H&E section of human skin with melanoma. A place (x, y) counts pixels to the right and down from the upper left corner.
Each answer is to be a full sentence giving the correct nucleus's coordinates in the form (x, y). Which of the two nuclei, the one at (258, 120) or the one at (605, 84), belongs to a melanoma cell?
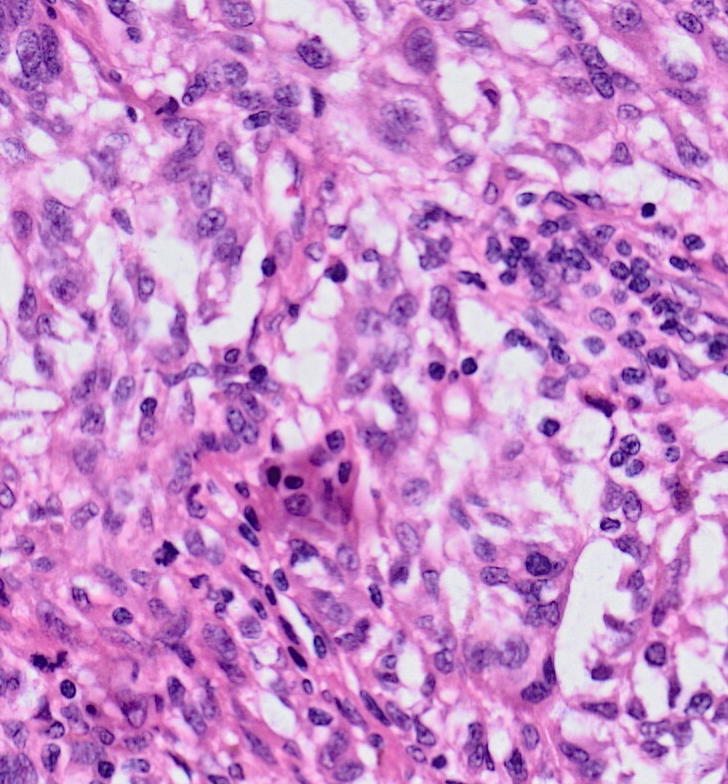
Between the two nuclei, the one sitting at (605, 84) belongs to a melanoma cell.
